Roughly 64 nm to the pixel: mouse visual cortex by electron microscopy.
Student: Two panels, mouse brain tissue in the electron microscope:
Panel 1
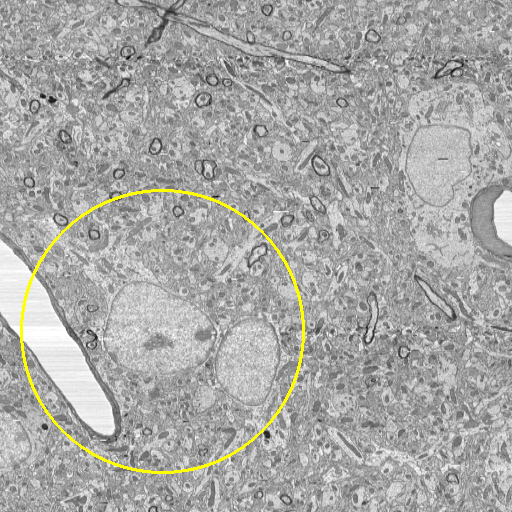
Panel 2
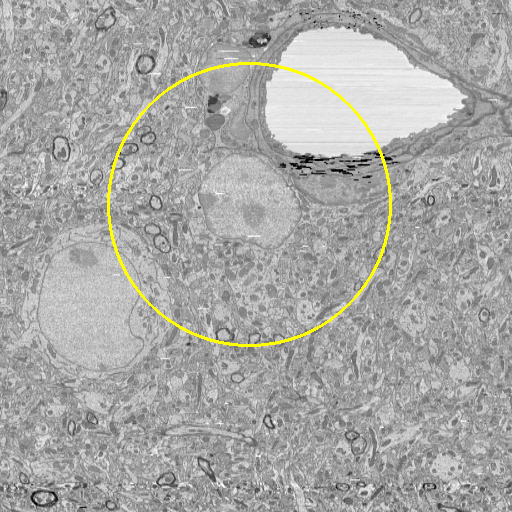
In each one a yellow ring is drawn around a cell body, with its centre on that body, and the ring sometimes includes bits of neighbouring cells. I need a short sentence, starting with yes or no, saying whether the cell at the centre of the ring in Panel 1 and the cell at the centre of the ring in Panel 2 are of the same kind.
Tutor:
Yes, they are the same kind of cell.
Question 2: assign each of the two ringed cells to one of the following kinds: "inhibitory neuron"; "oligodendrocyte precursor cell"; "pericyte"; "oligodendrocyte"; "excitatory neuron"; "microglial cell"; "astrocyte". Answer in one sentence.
Each cell at the centre of a ring is an astrocyte.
